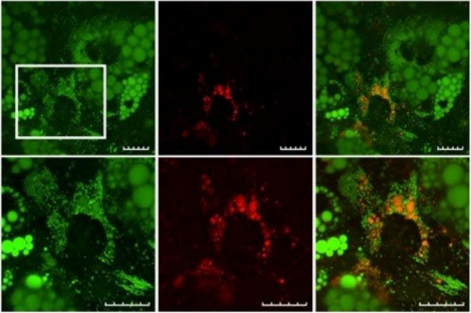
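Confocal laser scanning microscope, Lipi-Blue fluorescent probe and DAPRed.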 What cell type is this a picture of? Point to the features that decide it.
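Cells are packed with many round droplets of varying size. Some droplets are large and fill much of the cell. The answer: adipocytes.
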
